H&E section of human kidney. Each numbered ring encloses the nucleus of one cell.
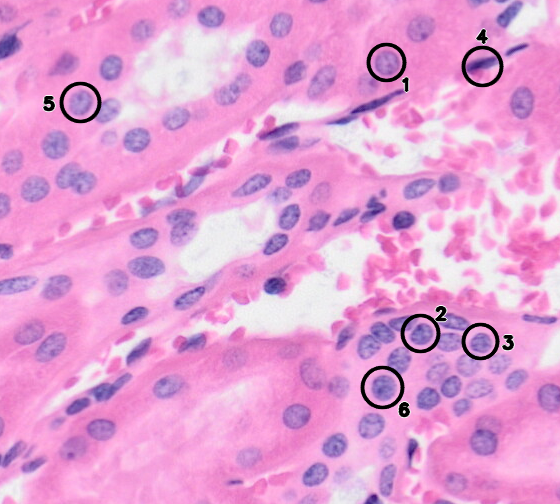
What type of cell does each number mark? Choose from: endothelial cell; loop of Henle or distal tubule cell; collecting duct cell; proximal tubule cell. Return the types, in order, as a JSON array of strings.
["proximal tubule cell", "collecting duct cell", "collecting duct cell", "endothelial cell", "loop of Henle or distal tubule cell", "collecting duct cell"]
